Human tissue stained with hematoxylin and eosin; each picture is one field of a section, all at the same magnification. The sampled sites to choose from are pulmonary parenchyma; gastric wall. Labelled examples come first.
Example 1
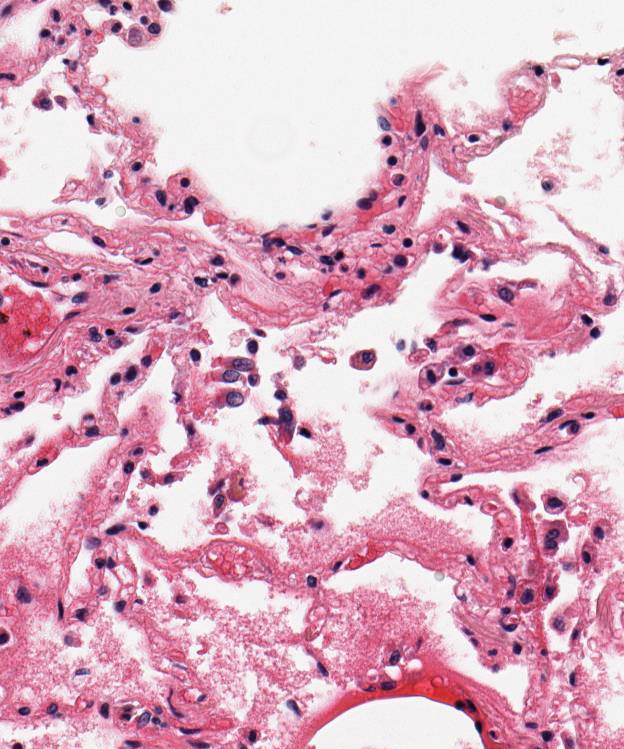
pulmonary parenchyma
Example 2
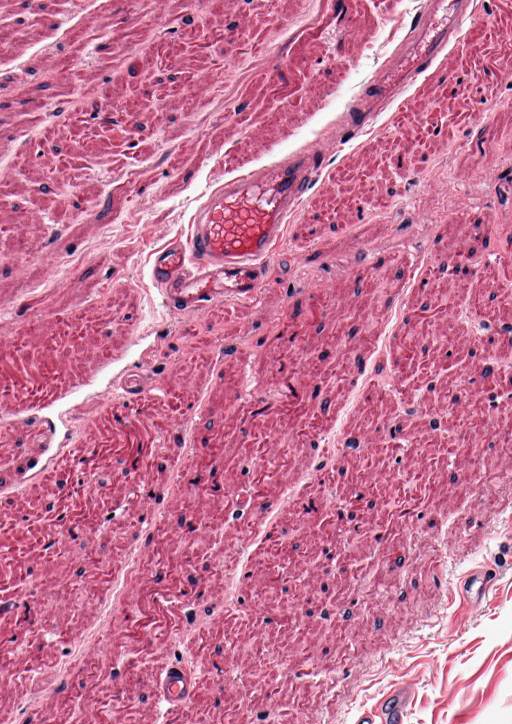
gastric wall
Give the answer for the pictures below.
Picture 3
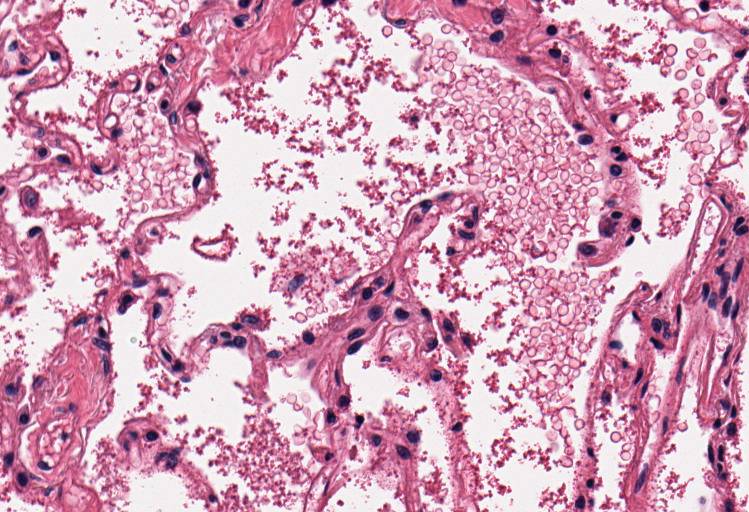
pulmonary parenchyma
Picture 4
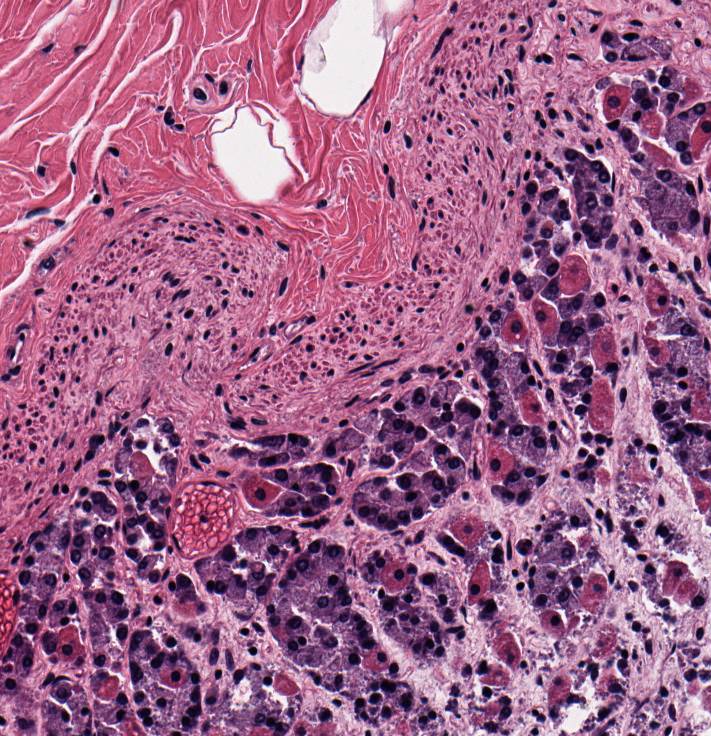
gastric wall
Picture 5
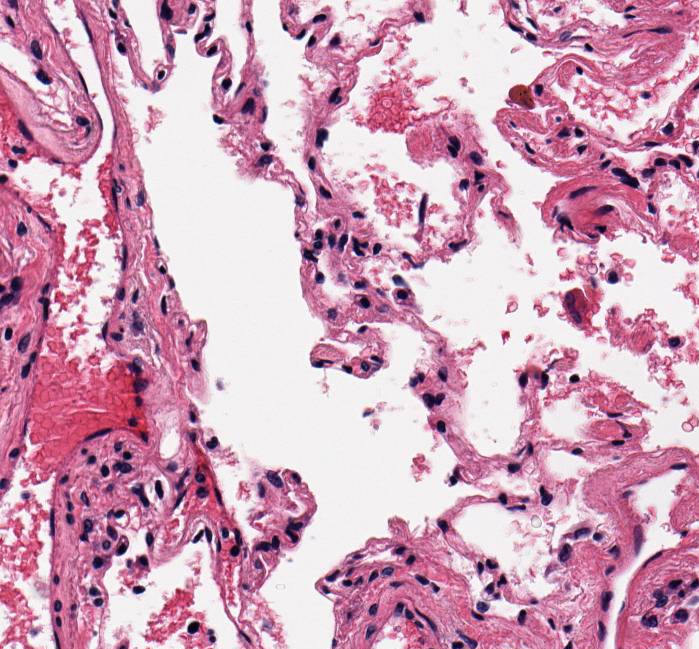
pulmonary parenchyma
